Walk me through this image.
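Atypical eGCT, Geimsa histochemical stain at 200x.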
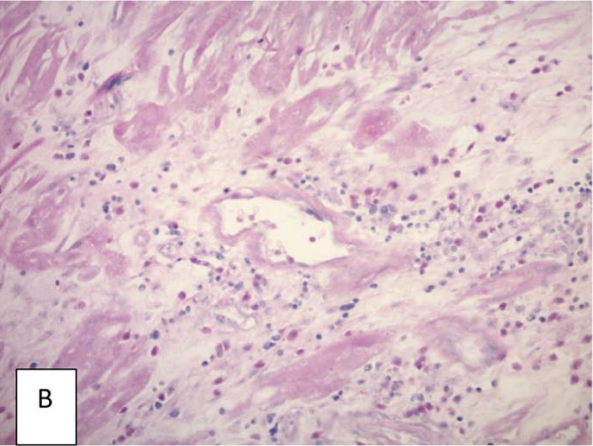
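This is a tumor of large cells with pale pink, granular cytoplasm set in a loose, pale stroma. Around a central thin-walled vessel lie many small cells with red-pink granular cytoplasm and small nuclei, scattered among the tumor cells.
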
